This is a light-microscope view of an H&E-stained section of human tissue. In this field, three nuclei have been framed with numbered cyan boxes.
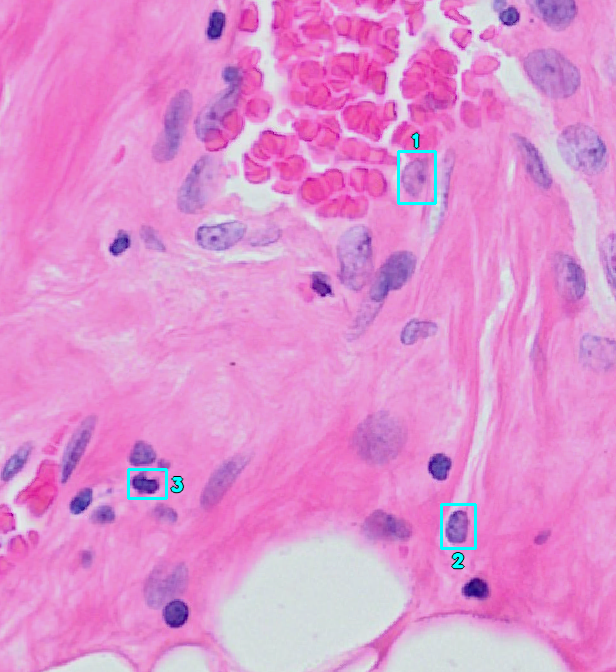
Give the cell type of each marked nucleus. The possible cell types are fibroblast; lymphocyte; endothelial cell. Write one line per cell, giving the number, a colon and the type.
1: endothelial cell
2: lymphocyte
3: lymphocyte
